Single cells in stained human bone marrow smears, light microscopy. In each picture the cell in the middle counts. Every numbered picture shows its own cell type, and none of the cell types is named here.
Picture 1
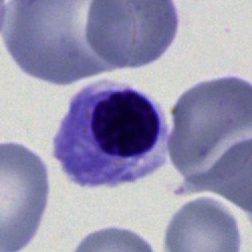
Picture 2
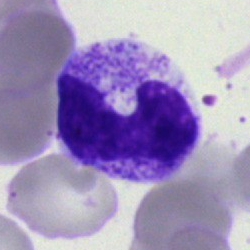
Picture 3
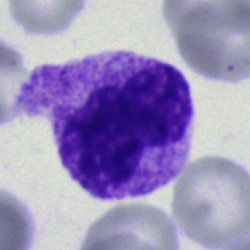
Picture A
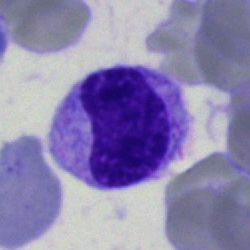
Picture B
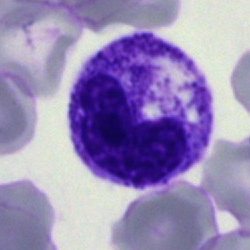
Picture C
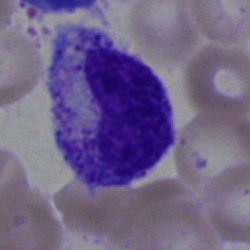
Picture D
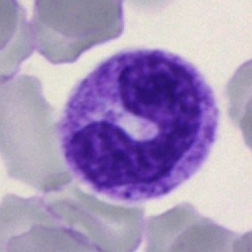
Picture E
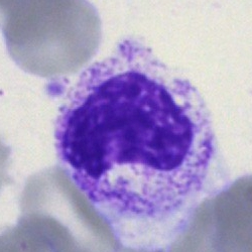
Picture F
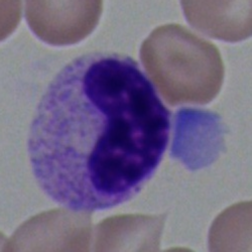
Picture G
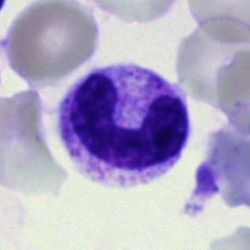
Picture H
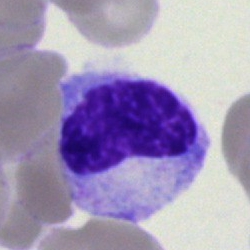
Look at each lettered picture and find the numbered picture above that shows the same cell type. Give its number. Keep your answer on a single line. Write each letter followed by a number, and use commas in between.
A 3, B 3, C 3, D 2, E 3, F 2, G 2, H 3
